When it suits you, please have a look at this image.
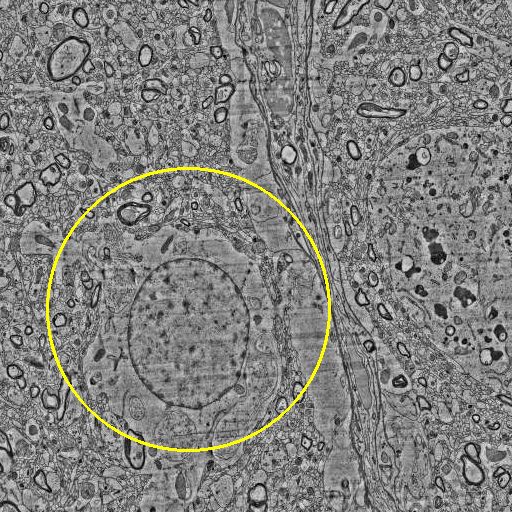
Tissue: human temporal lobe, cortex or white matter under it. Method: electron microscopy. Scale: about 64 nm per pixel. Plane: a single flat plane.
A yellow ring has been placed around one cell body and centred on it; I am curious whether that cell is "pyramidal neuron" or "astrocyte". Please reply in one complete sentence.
The ringed cell, an astrocyte, has its body at the centre of the yellow ring.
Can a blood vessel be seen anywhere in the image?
Yes, there is a blood vessel.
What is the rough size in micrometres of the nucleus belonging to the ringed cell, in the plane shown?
The nucleus has a long axis of about 10 micrometres and a short axis of about 8 micrometres in this plane.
